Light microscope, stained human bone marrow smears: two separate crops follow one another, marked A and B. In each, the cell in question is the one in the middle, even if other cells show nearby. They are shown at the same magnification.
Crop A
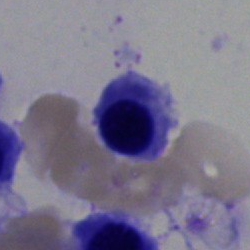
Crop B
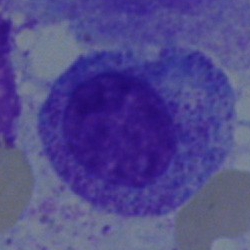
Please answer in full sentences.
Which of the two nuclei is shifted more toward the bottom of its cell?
Seen within its cell, the nucleus in crop A lies further toward the bottom.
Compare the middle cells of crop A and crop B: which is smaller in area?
Smaller is the cell in crop A, and the other is about 4 times as large in area.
